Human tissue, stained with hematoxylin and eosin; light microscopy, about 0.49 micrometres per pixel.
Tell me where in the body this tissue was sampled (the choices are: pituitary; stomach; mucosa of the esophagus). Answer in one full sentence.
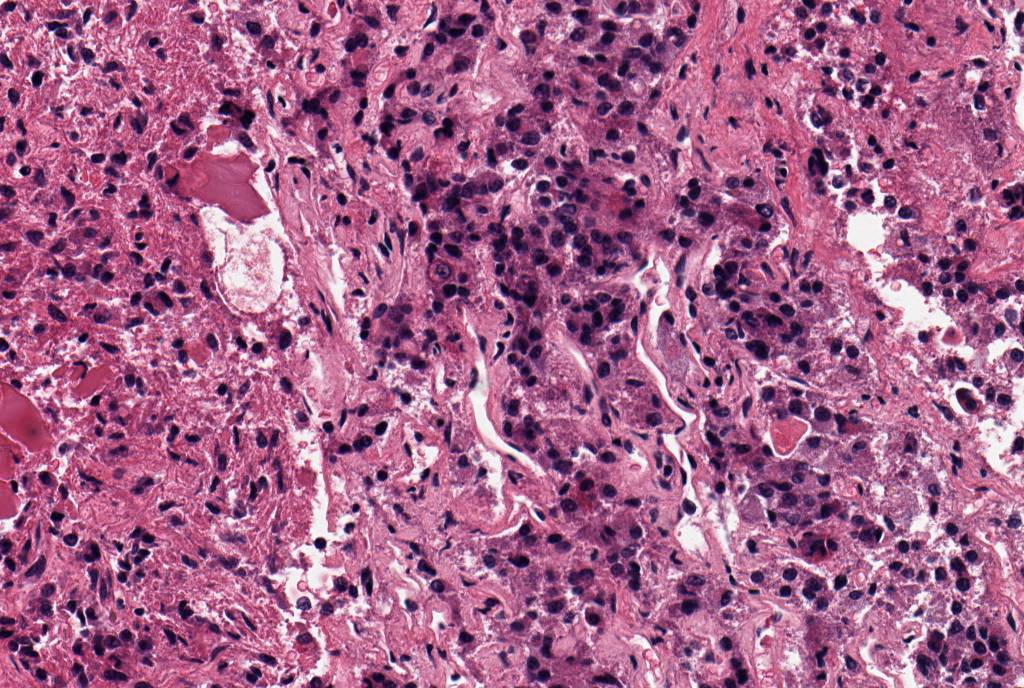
A specimen of the pituitary is what this section contains.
